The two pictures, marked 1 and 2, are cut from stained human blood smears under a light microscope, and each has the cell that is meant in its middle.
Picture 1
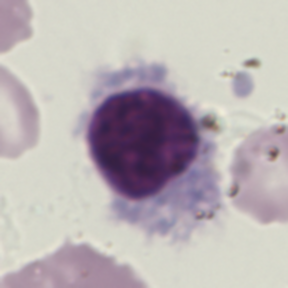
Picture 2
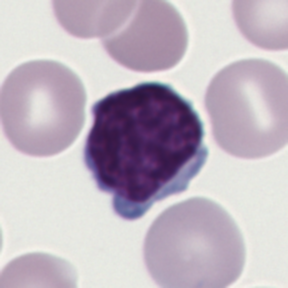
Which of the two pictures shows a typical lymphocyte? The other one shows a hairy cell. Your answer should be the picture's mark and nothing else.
2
